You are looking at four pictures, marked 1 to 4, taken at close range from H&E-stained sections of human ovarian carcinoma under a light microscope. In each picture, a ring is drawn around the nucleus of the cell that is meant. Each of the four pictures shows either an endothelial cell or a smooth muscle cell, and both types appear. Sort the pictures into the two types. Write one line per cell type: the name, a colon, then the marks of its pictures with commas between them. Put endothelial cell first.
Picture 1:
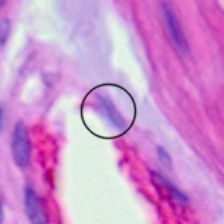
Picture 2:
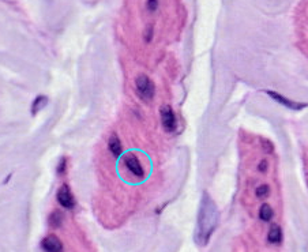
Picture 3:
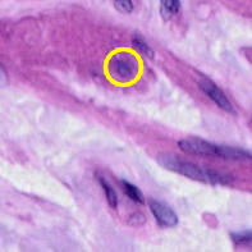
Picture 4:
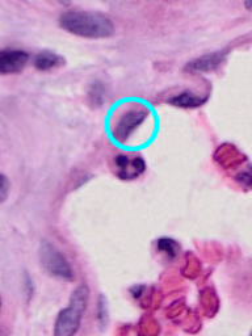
endothelial cell: 1, 4
smooth muscle cell: 2, 3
